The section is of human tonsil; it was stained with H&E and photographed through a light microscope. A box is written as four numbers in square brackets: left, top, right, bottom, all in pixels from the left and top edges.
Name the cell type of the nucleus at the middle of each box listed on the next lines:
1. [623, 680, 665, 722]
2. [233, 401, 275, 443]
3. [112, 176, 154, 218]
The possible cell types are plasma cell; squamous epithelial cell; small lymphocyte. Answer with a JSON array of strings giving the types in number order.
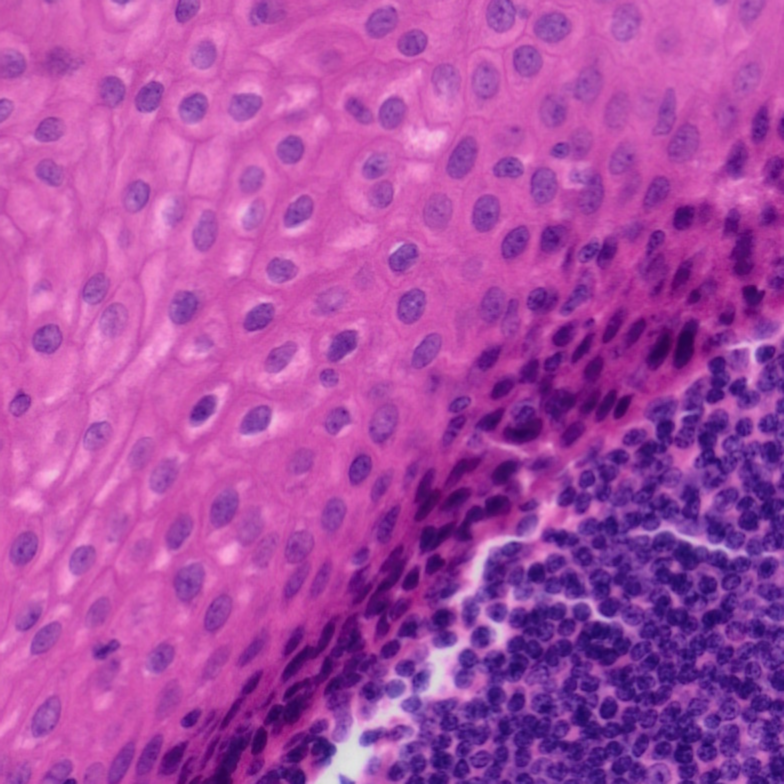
["small lymphocyte", "squamous epithelial cell", "squamous epithelial cell"]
